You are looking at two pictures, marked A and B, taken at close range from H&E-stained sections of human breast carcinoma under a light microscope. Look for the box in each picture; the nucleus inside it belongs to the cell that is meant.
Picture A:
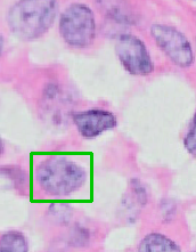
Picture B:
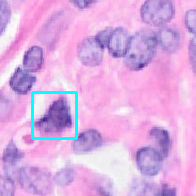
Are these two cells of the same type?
yes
